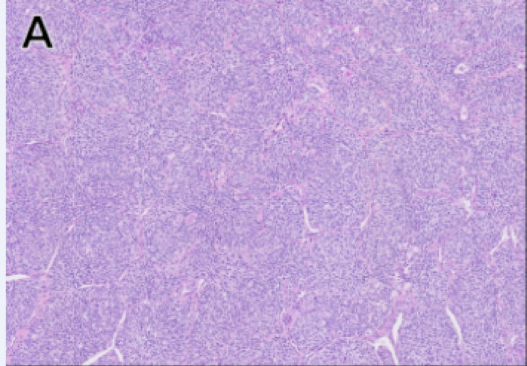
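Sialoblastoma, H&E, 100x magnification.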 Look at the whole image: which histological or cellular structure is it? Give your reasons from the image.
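Densely packed rounded nests of small dark-staining cells fill the field. Nests abut one another with very little stroma between them. Thin, slit-like empty vascular spaces run between the nests.
Hence: back-to-back nests of basaloid cells.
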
